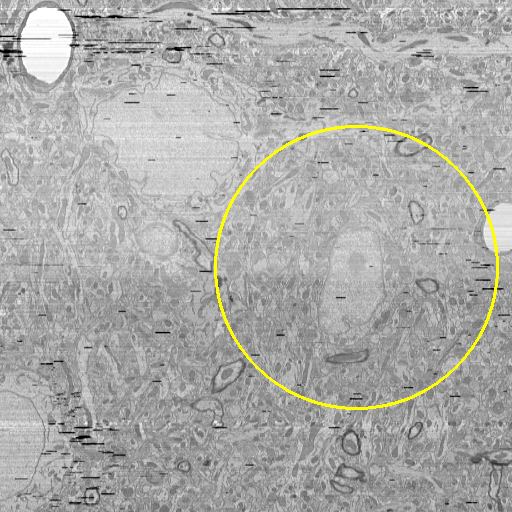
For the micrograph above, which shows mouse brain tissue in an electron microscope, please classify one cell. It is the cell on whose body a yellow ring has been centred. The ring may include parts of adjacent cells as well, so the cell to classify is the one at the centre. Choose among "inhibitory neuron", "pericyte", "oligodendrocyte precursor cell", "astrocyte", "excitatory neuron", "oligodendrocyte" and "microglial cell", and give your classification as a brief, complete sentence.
I classify this cell as an astrocyte.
